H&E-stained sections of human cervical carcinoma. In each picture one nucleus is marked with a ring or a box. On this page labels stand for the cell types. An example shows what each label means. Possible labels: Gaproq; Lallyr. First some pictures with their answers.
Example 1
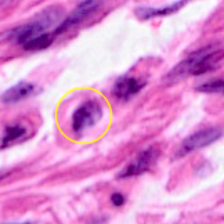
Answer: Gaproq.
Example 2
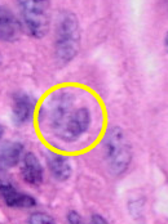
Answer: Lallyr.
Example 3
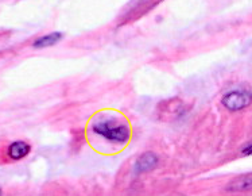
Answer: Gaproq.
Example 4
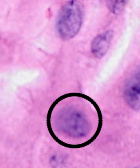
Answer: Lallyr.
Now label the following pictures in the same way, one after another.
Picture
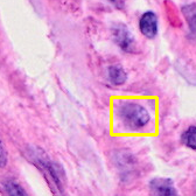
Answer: Gaproq.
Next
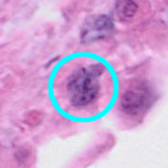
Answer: Gaproq.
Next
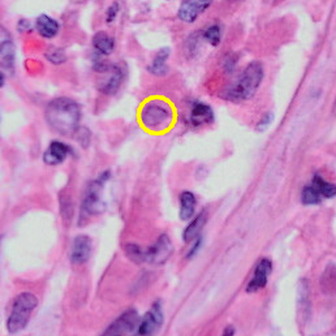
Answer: Gaproq.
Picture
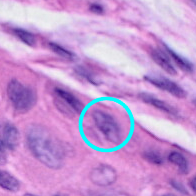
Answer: Lallyr.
